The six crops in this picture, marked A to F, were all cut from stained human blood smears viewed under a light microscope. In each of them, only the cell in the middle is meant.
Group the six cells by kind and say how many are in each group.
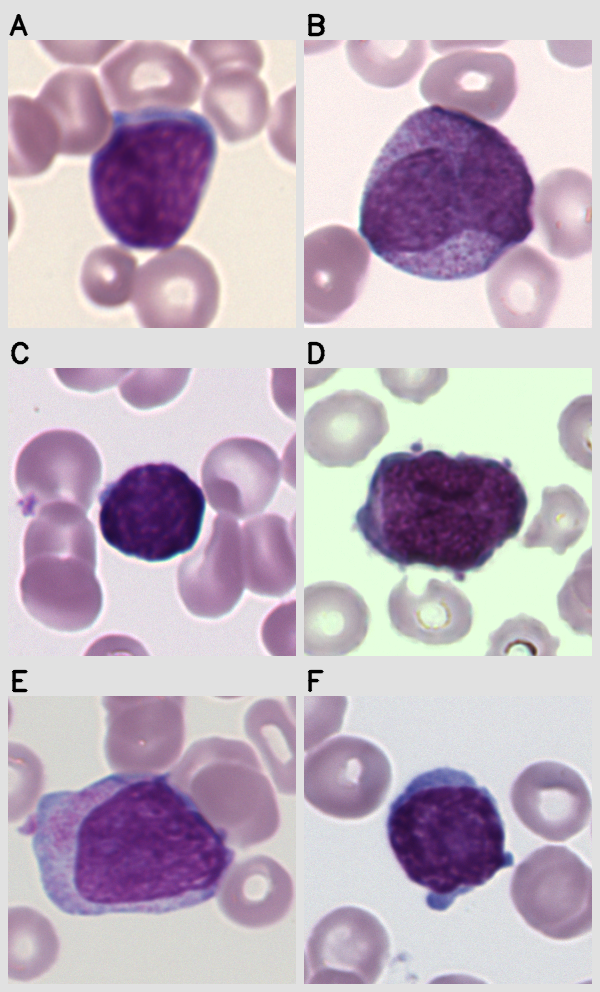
typical lymphocyte: 3
atypical promyelocyte: 3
